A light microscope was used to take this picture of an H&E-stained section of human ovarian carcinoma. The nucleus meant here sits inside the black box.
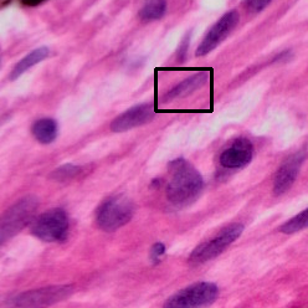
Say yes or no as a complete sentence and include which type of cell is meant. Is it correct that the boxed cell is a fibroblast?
Yes, the identification of the boxed cell as a fibroblast stands.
